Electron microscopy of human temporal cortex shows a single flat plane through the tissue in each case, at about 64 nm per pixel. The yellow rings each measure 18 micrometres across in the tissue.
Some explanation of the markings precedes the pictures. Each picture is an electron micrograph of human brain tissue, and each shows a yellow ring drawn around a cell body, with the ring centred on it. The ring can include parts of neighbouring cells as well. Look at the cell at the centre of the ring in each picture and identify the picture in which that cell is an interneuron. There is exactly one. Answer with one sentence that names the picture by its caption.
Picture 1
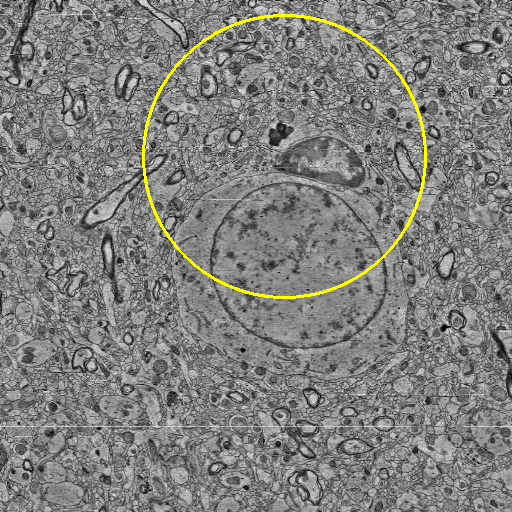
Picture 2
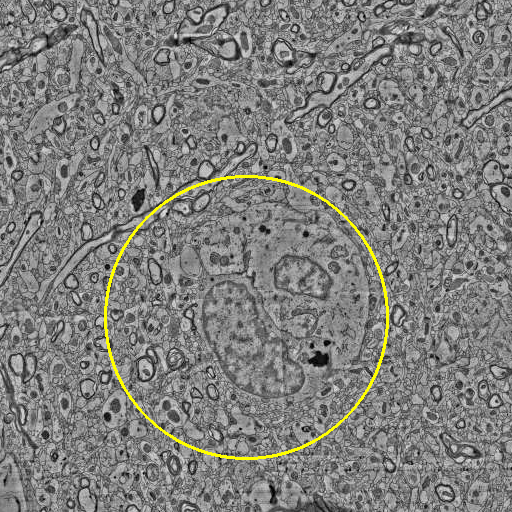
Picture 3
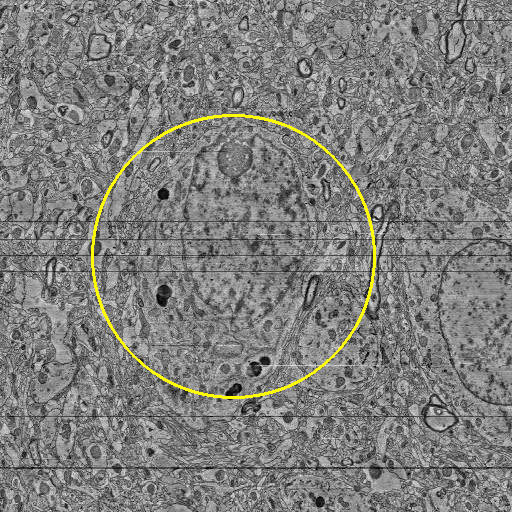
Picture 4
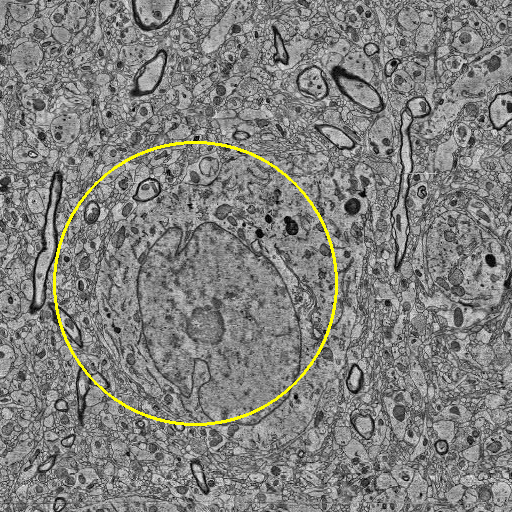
In Picture 3, the cell at the centre of the ring is of that kind.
